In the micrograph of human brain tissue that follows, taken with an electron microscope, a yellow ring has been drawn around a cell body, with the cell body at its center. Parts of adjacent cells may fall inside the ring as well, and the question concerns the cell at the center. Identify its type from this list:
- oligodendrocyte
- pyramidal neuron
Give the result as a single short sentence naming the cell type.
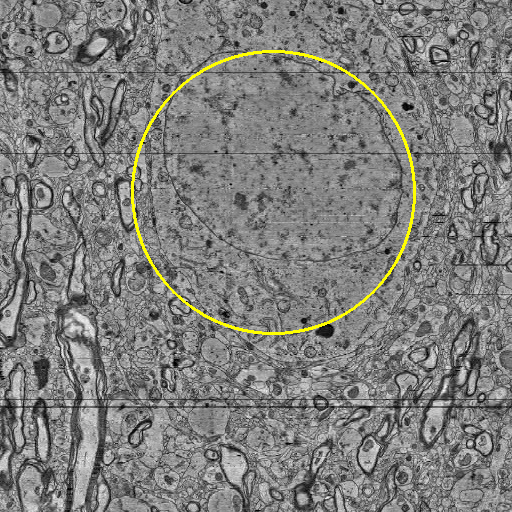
The ring is centered on a pyramidal neuron.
